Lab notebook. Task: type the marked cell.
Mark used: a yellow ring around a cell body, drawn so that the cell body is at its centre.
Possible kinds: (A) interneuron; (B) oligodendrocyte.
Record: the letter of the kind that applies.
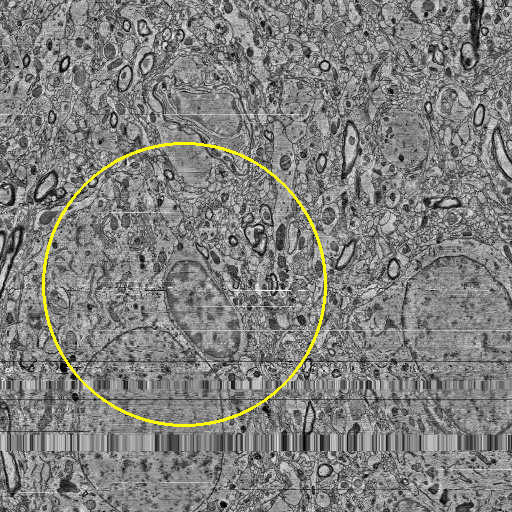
B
